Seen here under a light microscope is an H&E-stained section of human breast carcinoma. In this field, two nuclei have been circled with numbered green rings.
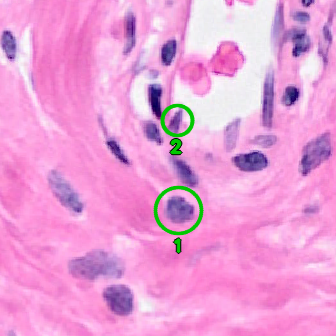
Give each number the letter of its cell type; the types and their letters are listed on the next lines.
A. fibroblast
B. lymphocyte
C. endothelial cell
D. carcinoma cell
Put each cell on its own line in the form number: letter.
1: B
2: C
